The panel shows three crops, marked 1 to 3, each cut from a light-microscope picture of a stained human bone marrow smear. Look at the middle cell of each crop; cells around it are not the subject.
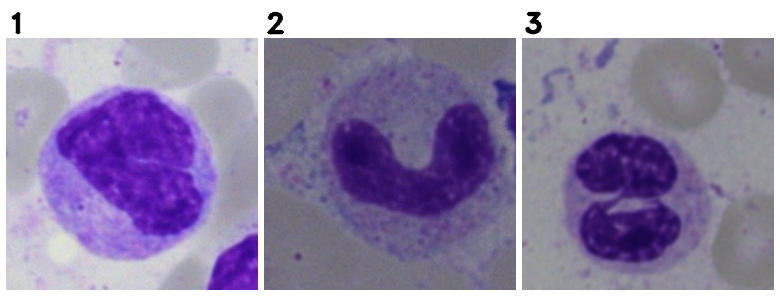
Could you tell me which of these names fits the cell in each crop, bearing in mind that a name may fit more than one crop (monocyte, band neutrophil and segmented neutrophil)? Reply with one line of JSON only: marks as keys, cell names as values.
{"1": "monocyte", "2": "band neutrophil", "3": "segmented neutrophil"}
